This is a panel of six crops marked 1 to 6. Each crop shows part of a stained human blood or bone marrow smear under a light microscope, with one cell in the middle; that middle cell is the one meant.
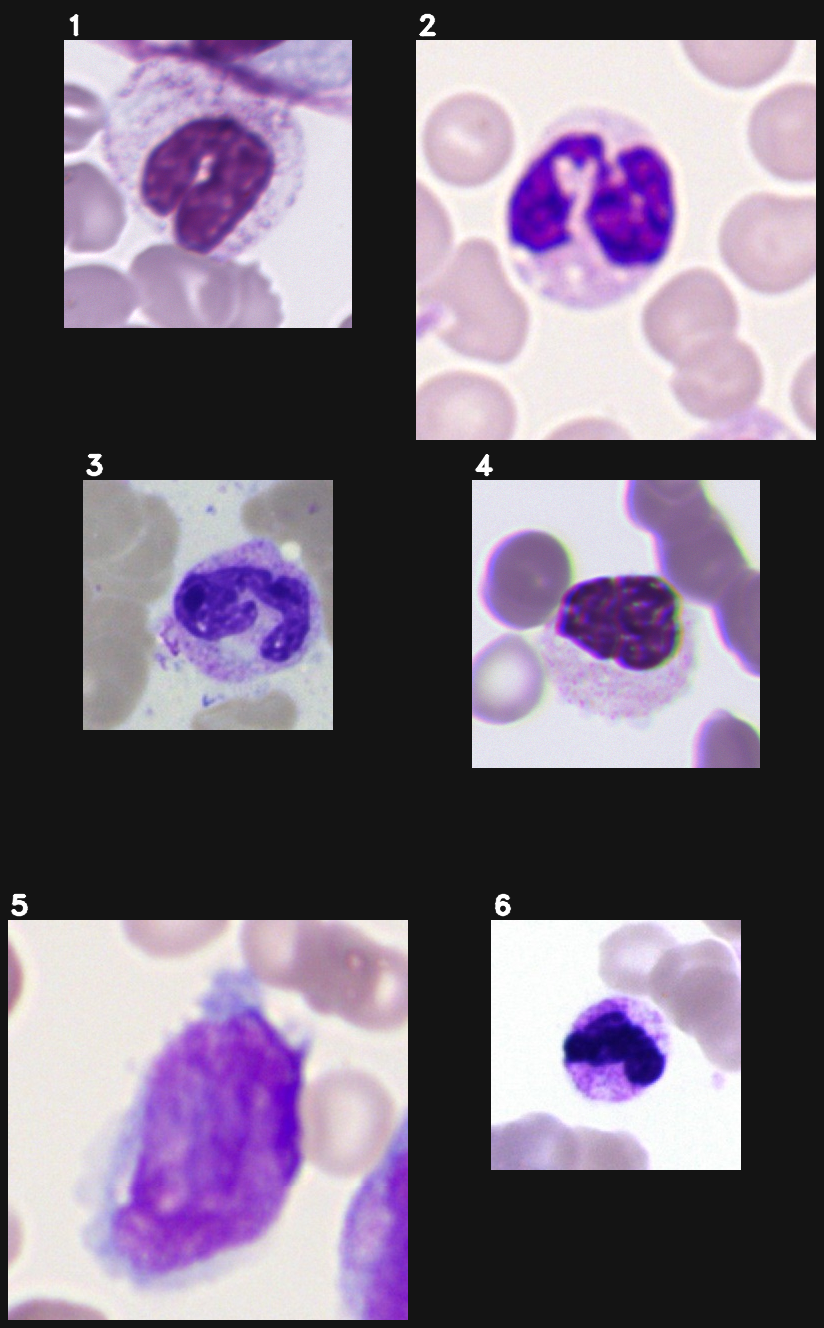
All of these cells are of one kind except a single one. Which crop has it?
5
